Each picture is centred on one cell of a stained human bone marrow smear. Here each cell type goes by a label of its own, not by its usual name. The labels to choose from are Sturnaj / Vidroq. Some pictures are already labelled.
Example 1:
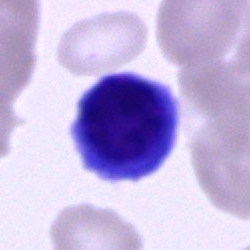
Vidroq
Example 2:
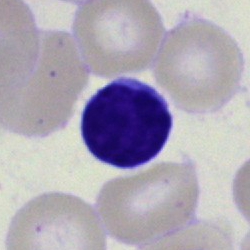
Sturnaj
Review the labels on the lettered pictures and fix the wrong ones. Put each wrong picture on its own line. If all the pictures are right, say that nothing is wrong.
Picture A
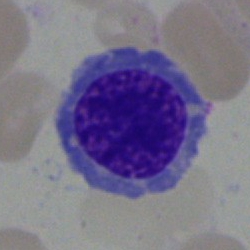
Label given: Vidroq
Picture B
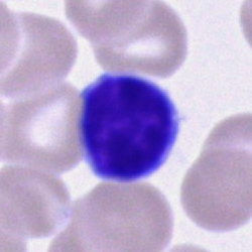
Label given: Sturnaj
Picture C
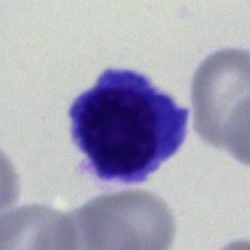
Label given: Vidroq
Every label is right.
